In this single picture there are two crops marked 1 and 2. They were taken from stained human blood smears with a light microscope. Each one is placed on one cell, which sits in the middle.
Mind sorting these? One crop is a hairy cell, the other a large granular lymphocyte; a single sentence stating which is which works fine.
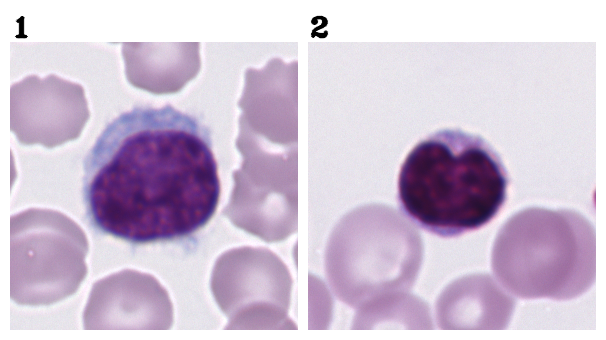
There is a hairy cell in crop 1 and a large granular lymphocyte in crop 2.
